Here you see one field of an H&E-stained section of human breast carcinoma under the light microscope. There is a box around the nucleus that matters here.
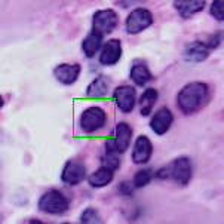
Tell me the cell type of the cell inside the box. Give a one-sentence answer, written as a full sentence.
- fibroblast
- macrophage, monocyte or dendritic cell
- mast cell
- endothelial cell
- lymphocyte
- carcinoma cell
Among the cells in this section, the cell inside the box is a lymphocyte.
